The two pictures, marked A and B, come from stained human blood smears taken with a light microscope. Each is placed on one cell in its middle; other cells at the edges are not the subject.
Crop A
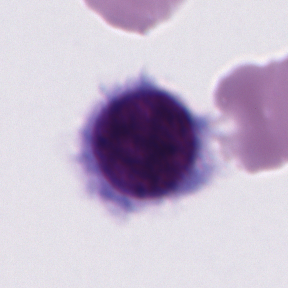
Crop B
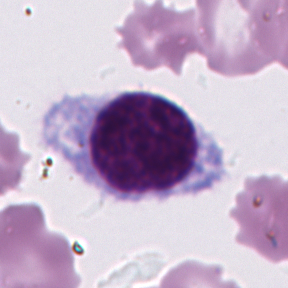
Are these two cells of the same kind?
yes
